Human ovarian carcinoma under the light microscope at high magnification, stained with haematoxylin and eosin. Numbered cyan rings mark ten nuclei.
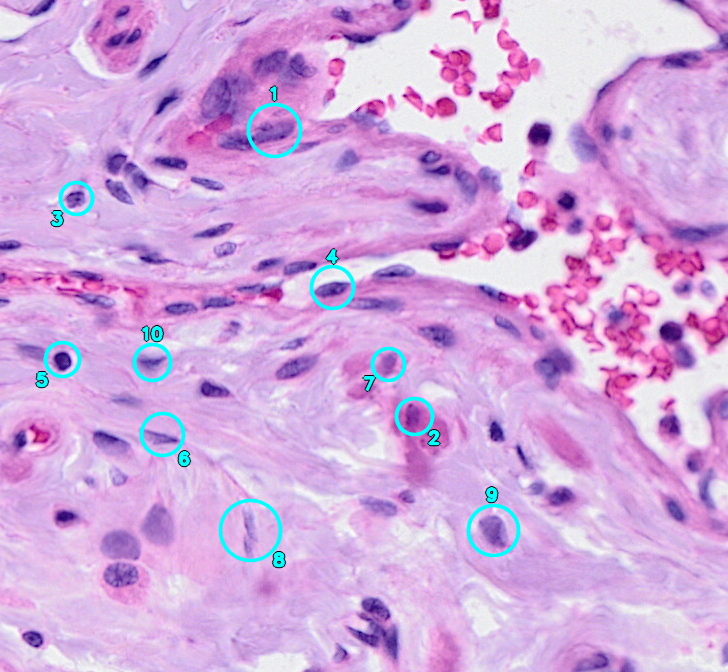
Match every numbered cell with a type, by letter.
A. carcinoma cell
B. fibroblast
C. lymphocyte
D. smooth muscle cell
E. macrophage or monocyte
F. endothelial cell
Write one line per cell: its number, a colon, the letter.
1: F
2: D
3: C
4: F
5: C
6: B
7: D
8: B
9: B
10: B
